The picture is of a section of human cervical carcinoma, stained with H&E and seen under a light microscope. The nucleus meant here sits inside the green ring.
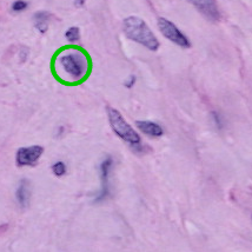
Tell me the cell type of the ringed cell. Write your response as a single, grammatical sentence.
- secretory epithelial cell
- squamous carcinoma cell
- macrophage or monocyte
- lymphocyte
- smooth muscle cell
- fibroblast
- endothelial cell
The correct response here is that the ringed cell is a fibroblast.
